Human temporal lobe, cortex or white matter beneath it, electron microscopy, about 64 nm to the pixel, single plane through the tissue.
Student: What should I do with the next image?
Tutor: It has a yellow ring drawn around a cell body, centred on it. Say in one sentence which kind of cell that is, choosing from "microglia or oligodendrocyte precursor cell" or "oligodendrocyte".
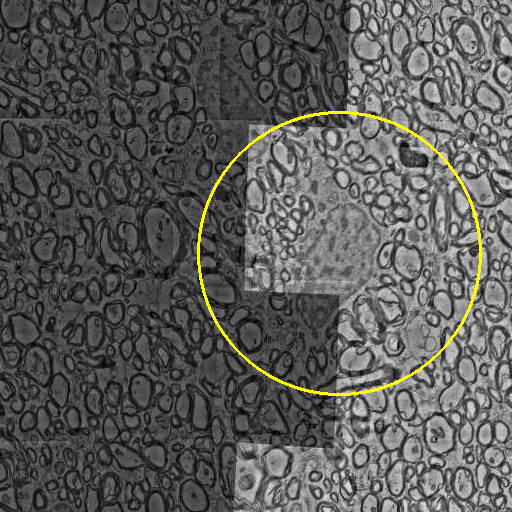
The ring's centre is occupied by an oligodendrocyte.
